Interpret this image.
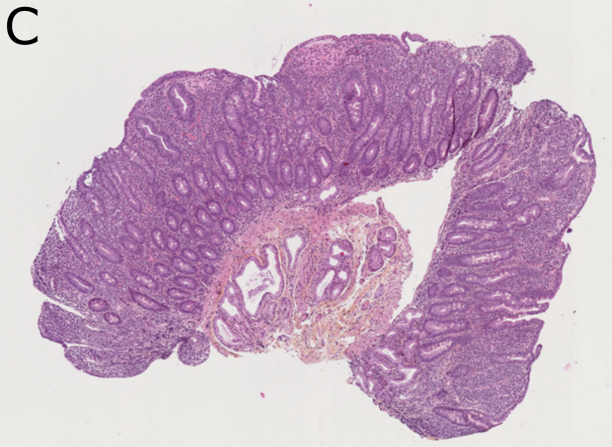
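Low-power view of a duodenal biopsy with a flat mucosal surface lacking villi. The mucosa is crowded with many elongated crypts in a cellular lamina propria, and paler pink submucosa with glands lies beneath part of it.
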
